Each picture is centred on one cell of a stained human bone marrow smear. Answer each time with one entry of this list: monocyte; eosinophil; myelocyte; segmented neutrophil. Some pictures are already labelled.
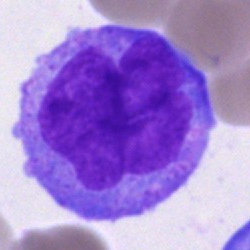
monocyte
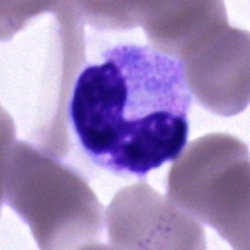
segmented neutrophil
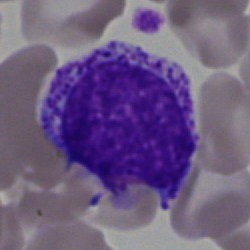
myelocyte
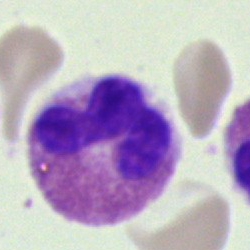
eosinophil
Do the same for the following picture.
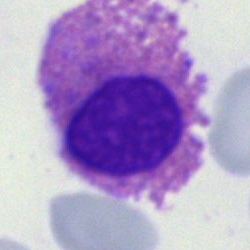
eosinophil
